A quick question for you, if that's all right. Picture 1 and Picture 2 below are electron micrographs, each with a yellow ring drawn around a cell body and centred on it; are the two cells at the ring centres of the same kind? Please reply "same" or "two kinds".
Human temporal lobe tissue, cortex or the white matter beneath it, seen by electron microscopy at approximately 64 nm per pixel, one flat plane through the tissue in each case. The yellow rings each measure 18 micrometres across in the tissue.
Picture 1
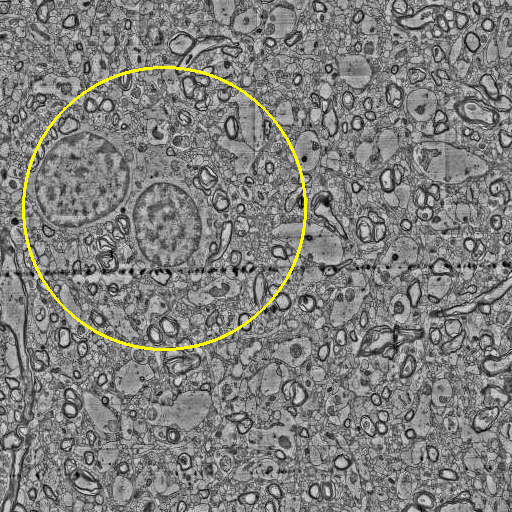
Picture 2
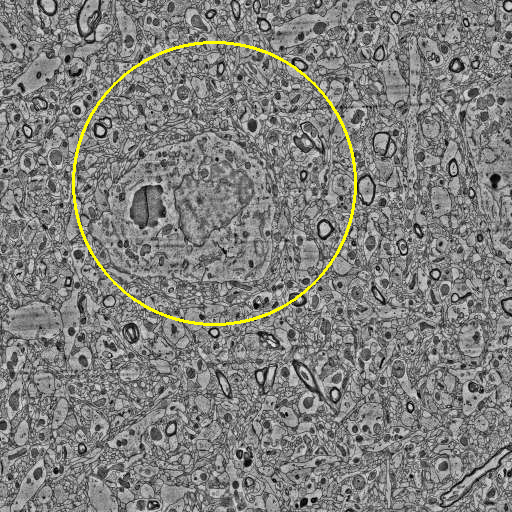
two kinds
